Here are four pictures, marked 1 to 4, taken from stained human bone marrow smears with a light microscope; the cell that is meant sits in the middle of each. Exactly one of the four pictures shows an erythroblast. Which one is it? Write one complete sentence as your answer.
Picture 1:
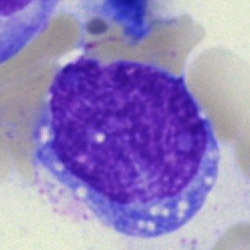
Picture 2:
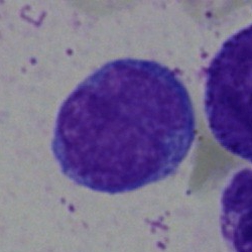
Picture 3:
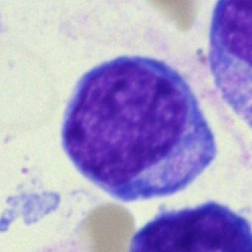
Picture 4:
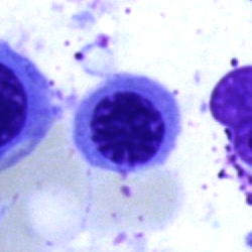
It is picture 4 that shows the erythroblast.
